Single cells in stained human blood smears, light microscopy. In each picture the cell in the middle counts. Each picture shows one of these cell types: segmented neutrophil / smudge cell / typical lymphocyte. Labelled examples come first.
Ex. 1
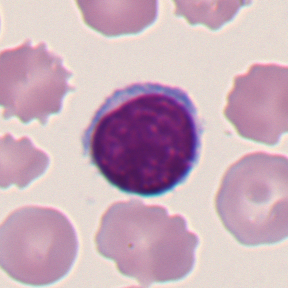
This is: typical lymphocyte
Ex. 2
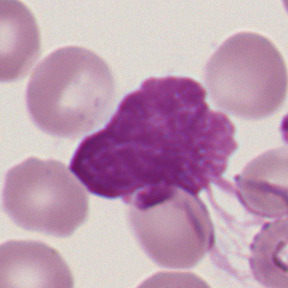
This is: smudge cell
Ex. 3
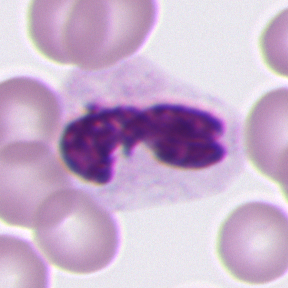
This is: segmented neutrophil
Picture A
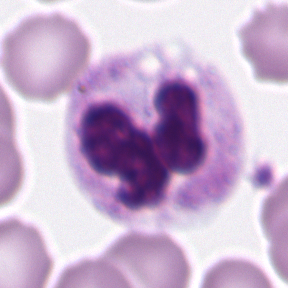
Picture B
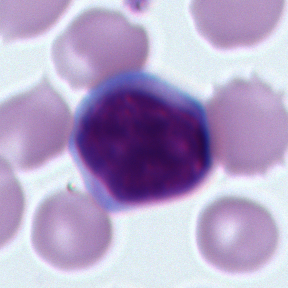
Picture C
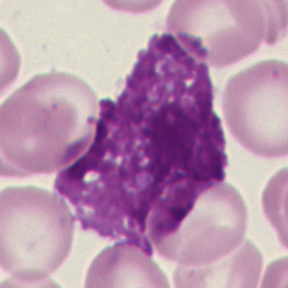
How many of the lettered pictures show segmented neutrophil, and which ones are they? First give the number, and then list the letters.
Count: 1 (A)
